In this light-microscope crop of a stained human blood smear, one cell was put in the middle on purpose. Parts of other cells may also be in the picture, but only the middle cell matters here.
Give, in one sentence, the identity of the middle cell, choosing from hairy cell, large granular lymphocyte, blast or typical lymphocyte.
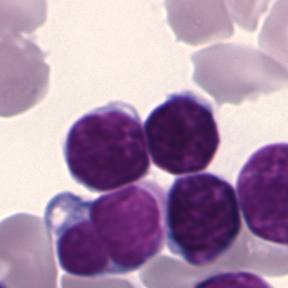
Standing at the centre of this crop is a blast.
